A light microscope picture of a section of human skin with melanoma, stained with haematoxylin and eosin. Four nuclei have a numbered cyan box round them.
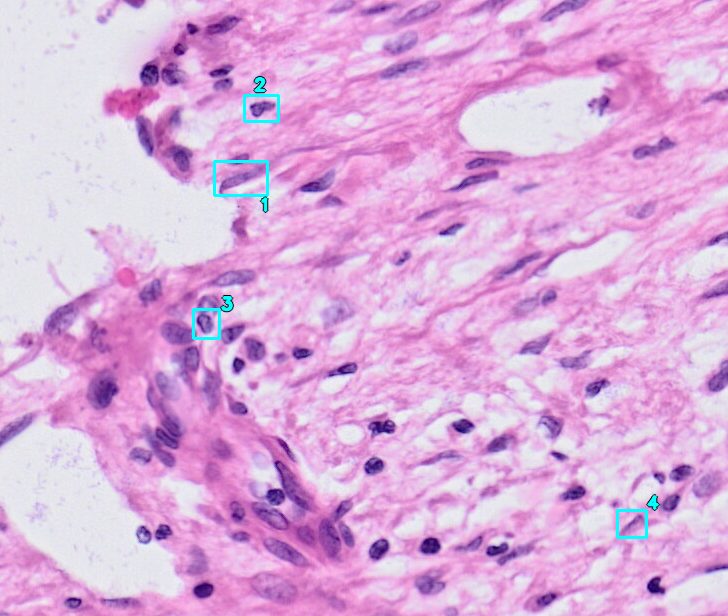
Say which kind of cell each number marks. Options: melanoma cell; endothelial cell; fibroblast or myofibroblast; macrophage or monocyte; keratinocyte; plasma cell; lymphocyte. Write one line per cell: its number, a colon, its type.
1: fibroblast or myofibroblast
2: lymphocyte
3: lymphocyte
4: fibroblast or myofibroblast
